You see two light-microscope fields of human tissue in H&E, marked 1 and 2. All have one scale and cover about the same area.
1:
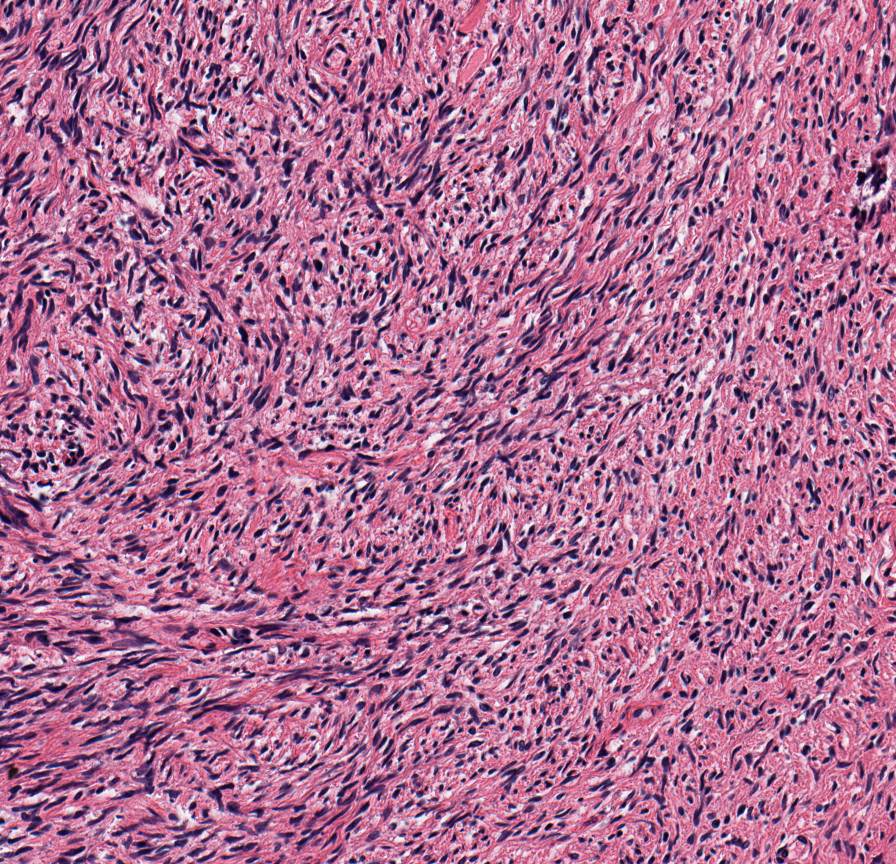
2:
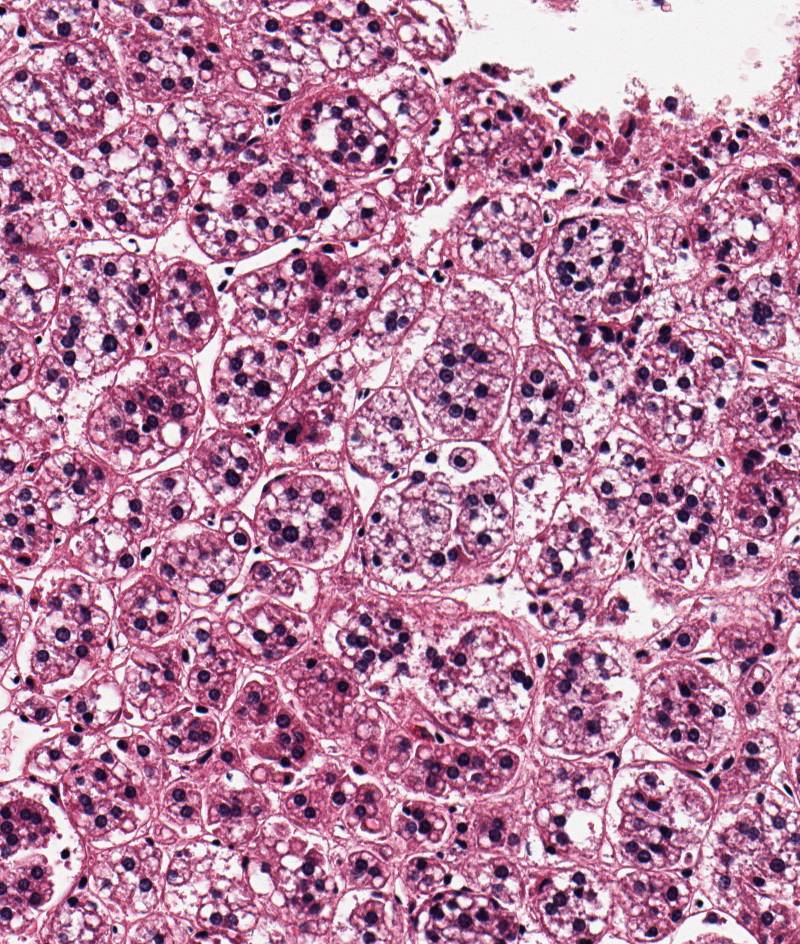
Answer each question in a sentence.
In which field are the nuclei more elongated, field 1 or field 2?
It is field 1 whose nuclei are the more elongated.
